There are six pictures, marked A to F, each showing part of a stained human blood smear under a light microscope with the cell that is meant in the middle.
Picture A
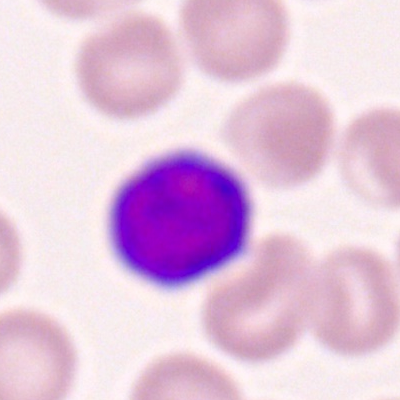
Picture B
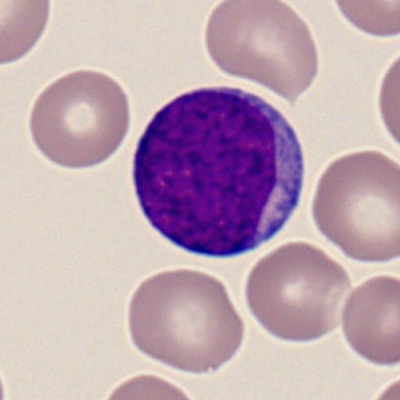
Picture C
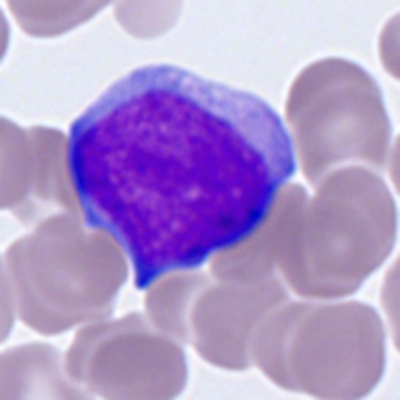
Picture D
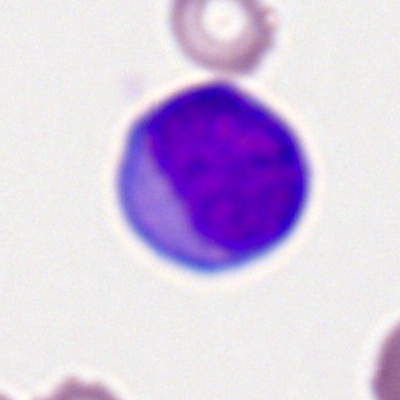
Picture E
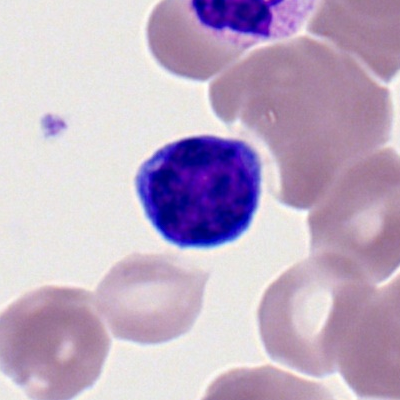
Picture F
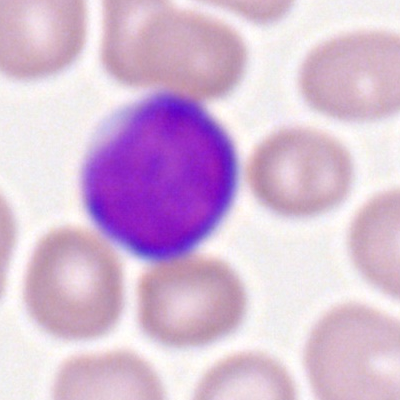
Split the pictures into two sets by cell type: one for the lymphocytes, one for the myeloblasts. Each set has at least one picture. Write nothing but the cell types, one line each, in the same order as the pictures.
lymphocyte
myeloblast
myeloblast
myeloblast
lymphocyte
myeloblast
